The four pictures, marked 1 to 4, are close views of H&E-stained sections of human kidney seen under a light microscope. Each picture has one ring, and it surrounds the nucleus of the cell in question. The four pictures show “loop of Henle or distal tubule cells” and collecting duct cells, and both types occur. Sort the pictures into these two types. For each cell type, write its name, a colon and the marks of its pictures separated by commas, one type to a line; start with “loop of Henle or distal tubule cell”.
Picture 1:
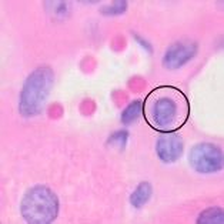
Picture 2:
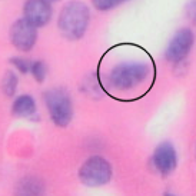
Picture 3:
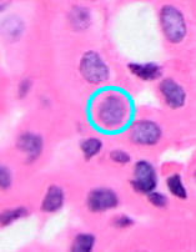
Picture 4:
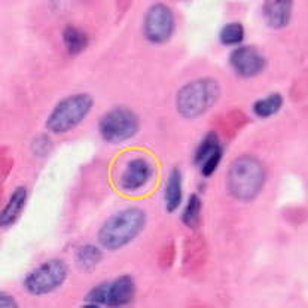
loop of Henle or distal tubule cell: 3
collecting duct cell: 1, 2, 4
